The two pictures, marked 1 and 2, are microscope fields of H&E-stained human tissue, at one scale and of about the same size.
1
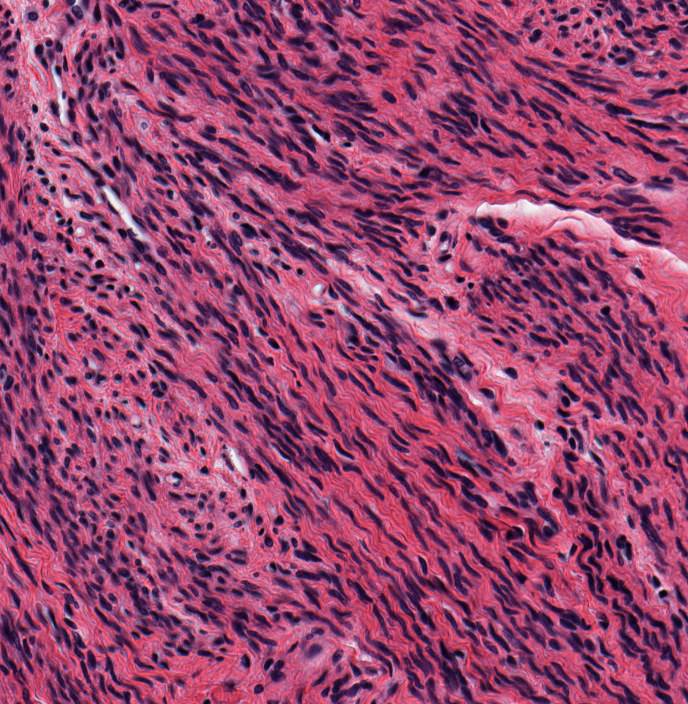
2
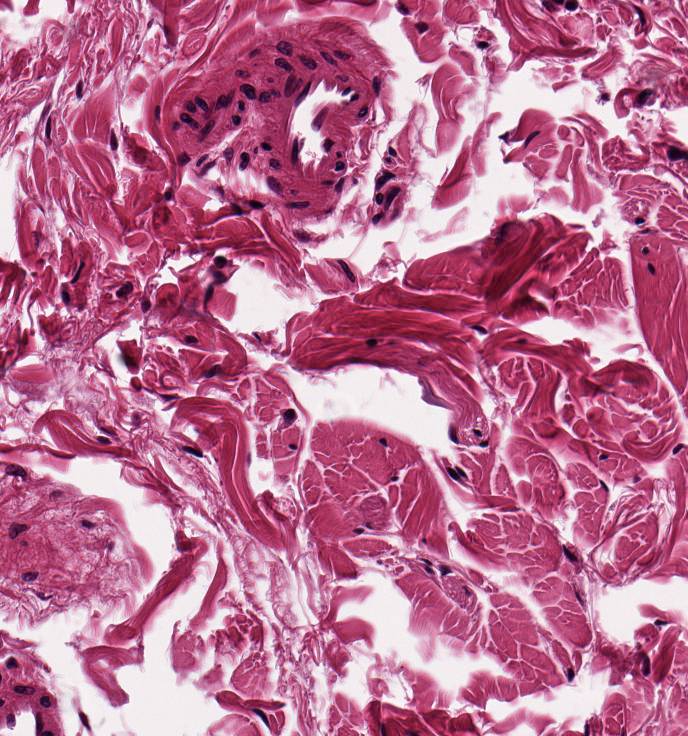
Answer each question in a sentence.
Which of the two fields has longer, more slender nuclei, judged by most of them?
On the whole the nuclei of picture 1 are more drawn out than those of picture 2.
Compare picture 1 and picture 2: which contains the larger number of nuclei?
It is picture 1 that has more nuclei in it.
